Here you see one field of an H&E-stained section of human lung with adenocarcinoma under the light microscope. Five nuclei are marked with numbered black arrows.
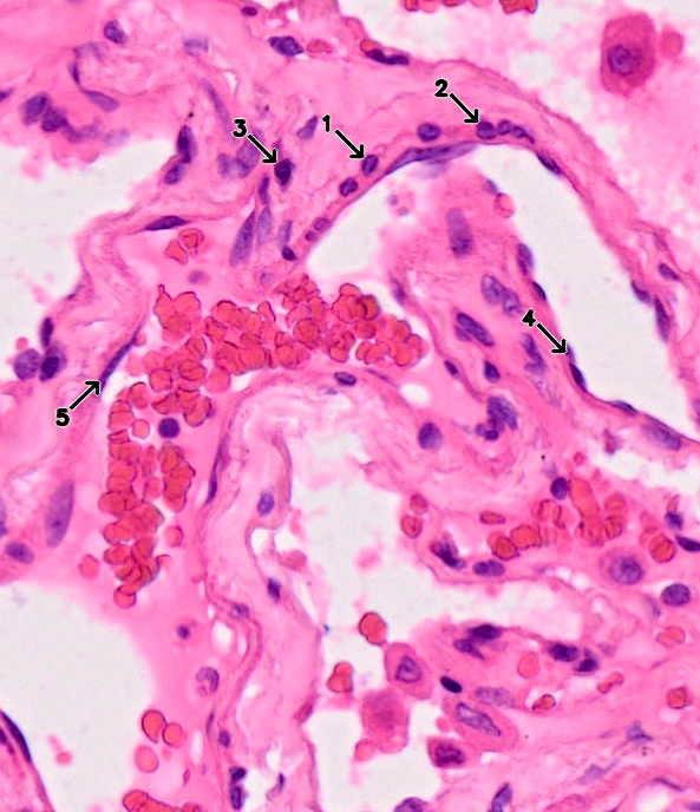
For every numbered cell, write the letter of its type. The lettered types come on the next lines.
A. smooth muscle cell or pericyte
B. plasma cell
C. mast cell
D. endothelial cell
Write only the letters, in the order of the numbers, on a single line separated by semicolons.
A; A; B; D; D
